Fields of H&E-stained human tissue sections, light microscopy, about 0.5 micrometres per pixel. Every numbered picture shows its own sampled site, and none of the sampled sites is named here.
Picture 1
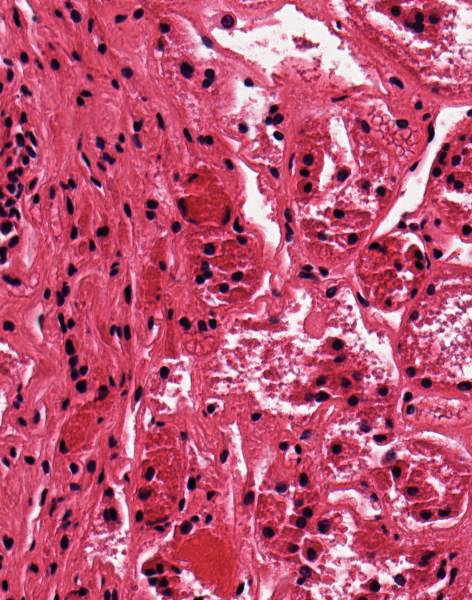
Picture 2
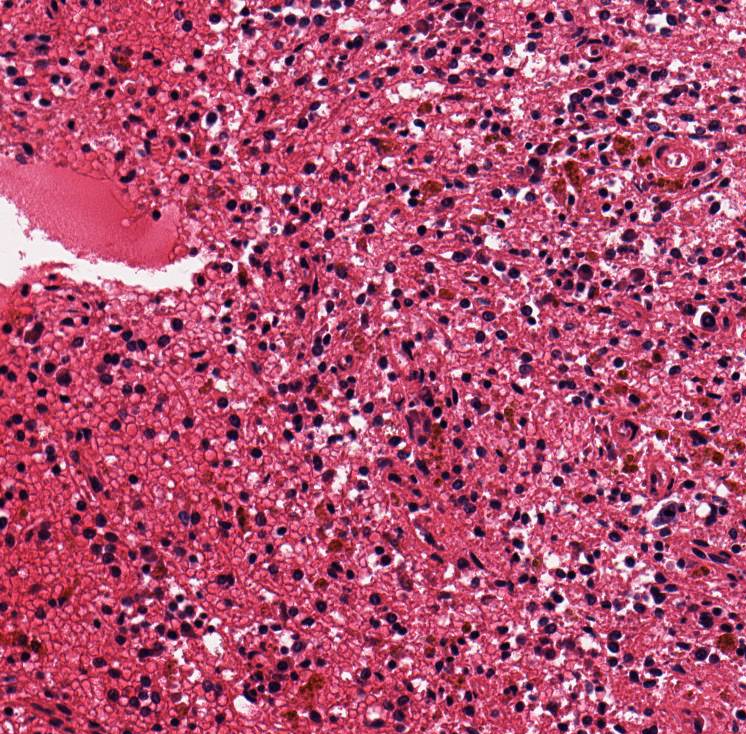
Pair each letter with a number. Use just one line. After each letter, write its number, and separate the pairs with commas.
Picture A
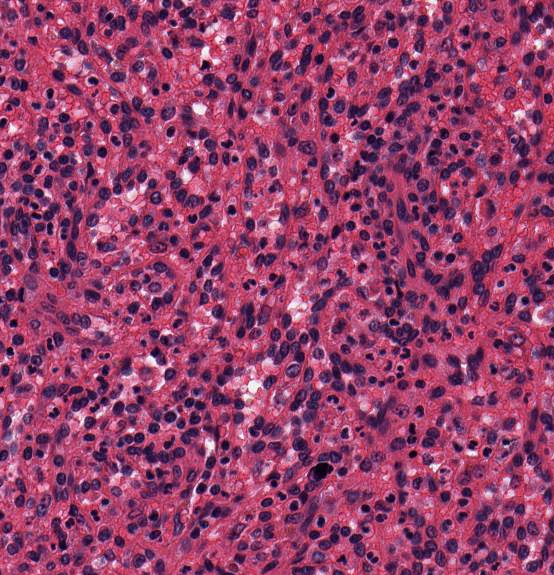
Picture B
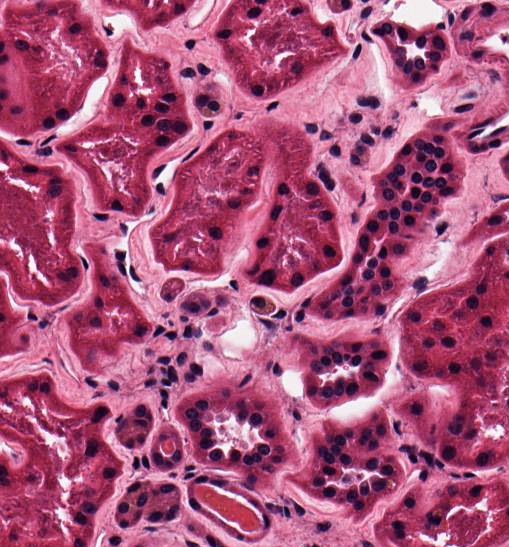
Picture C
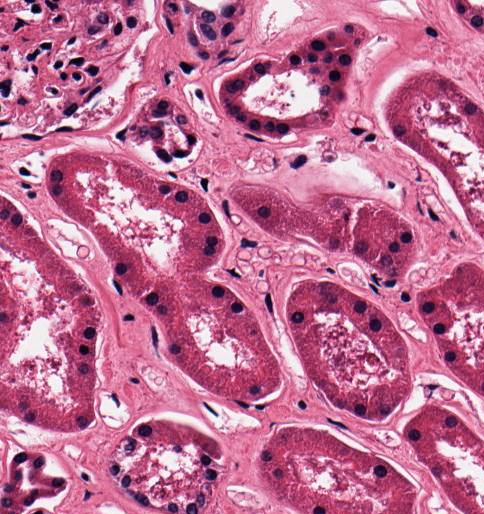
A 2, B 1, C 1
